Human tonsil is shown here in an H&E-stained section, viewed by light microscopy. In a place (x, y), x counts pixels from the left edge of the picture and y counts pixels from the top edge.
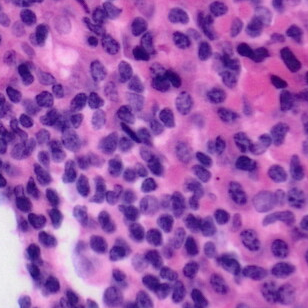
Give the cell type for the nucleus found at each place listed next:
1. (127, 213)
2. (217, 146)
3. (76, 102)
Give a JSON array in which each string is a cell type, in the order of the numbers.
["small lymphocyte", "plasma cell", "small lymphocyte"]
